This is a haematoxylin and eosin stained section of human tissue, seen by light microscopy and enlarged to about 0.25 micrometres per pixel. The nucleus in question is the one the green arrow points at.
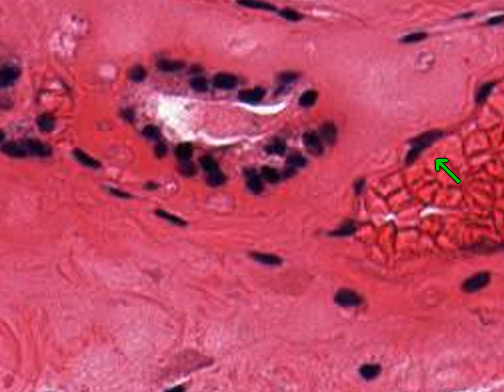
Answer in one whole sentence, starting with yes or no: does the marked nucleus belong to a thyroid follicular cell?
No, a supporting cell is the one to which the marked nucleus belongs, not a thyroid follicular cell.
